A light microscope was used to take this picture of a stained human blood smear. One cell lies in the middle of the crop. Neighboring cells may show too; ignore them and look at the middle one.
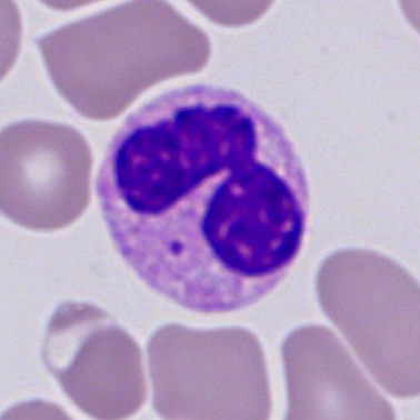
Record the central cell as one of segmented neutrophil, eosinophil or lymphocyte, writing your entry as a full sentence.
Classification of the middle cell gives a segmented neutrophil.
